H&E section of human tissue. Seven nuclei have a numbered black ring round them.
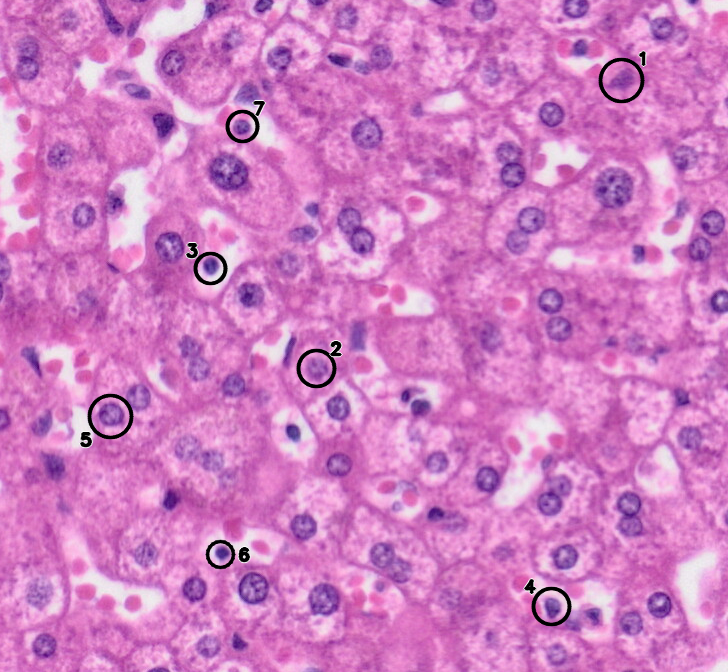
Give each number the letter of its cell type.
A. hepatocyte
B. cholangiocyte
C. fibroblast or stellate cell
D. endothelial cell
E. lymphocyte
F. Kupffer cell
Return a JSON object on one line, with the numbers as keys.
{"1": "D", "2": "A", "3": "E", "4": "E", "5": "A", "6": "E", "7": "E"}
